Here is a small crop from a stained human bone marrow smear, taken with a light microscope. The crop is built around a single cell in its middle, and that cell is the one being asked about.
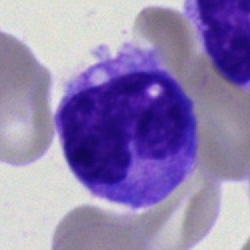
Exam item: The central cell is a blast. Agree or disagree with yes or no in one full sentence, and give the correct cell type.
No, the middle cell is actually a monocyte rather than a blast.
